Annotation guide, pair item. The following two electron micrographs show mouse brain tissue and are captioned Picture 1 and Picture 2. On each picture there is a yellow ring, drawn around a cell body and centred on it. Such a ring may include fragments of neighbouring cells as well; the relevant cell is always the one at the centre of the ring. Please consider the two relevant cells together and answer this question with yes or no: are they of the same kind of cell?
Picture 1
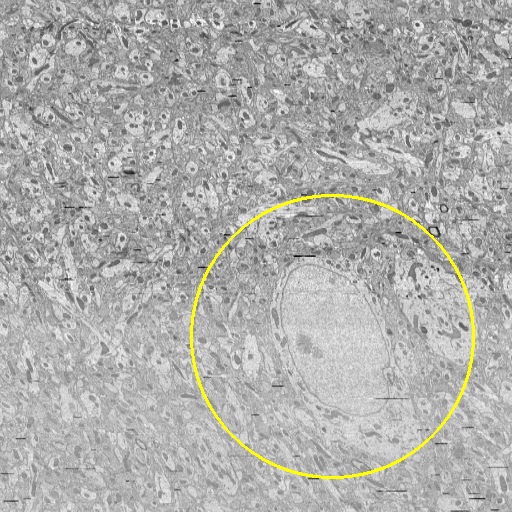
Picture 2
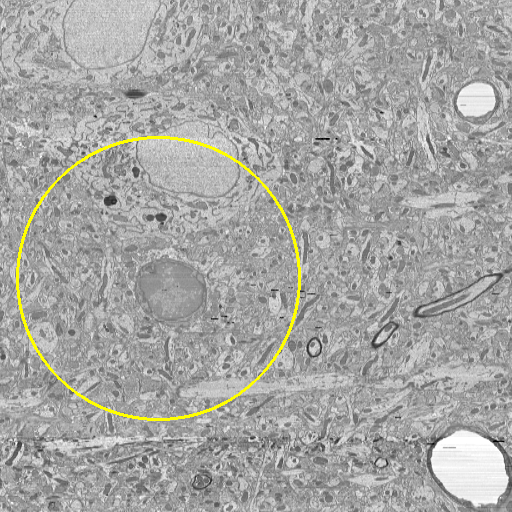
no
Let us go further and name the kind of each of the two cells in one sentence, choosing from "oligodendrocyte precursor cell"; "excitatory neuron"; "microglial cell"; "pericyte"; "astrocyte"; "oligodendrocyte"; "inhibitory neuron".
The ring of the first picture is on an excitatory neuron, the ring of the second on a microglial cell.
